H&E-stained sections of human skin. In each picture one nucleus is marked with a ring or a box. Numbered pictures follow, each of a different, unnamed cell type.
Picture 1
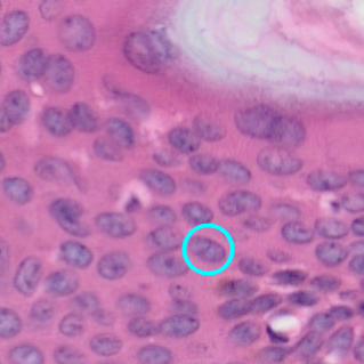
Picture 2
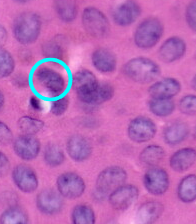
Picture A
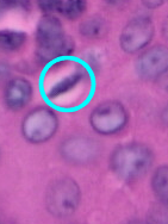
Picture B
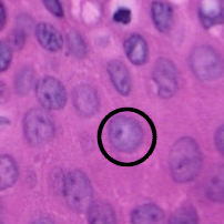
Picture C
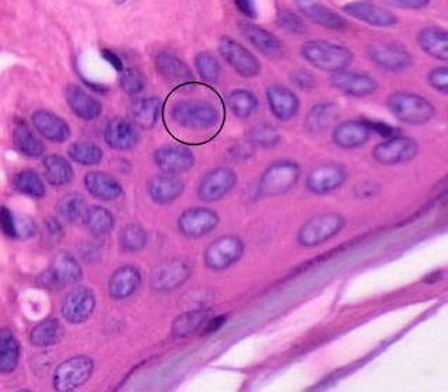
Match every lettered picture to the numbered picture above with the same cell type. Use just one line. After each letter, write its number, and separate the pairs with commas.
A 2, B 1, C 2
